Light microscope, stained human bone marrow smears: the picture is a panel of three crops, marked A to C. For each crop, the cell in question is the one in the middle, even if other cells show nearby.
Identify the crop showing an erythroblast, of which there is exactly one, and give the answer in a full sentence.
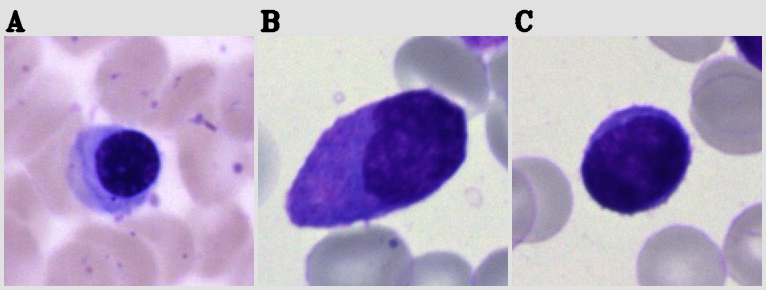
The crop marked A is the one that shows an erythroblast.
